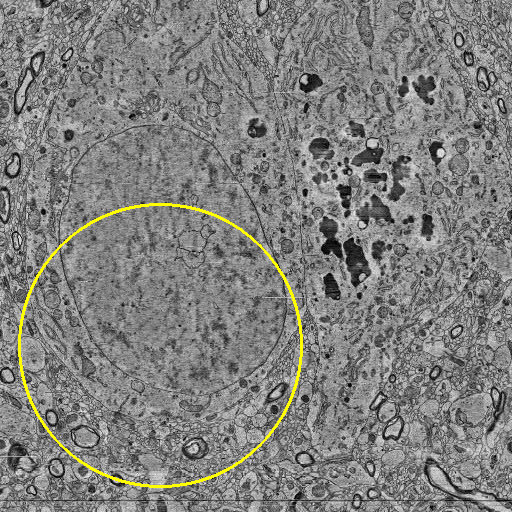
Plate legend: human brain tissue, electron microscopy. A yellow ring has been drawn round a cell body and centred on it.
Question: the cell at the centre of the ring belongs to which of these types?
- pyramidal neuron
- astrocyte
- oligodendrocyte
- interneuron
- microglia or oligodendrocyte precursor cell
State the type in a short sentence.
The cell in the middle of the ring is a pyramidal neuron.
